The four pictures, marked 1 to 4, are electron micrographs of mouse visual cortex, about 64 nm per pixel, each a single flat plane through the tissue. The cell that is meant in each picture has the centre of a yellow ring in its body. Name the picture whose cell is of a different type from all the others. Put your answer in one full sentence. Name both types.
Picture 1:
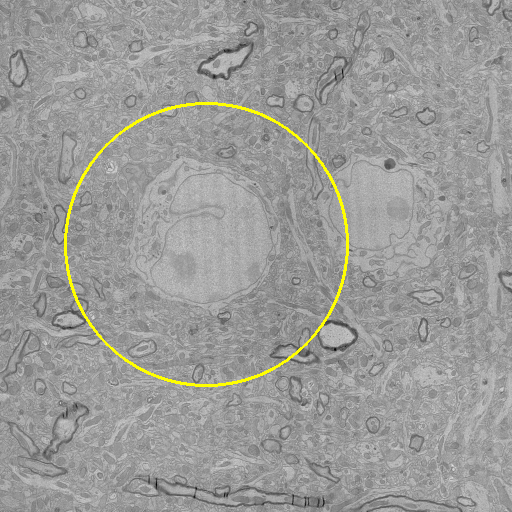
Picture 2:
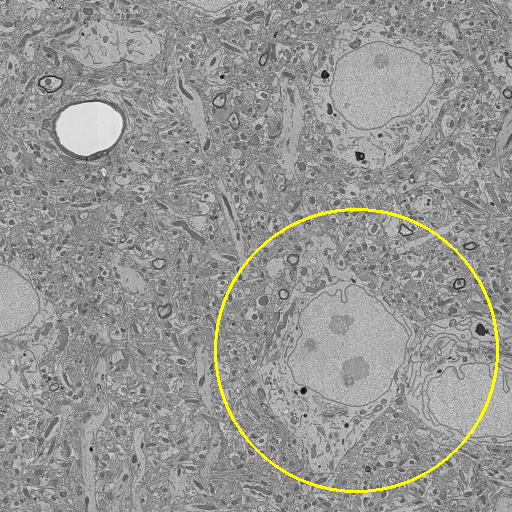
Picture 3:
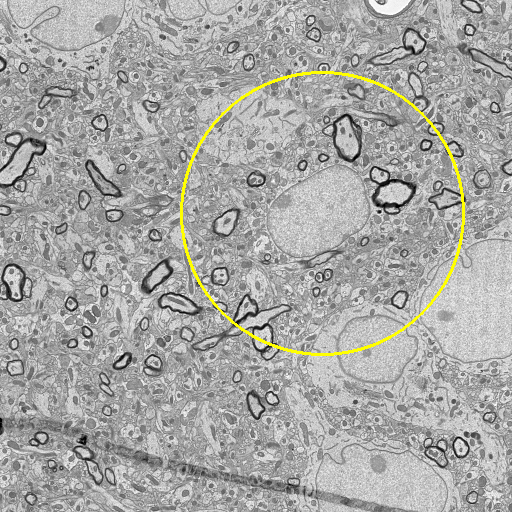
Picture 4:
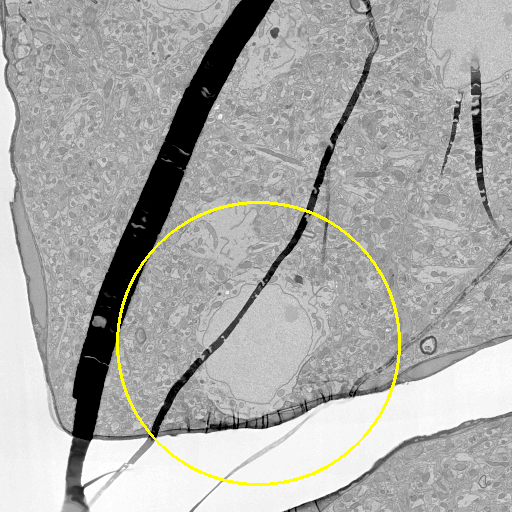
The others show excitatory neurons, but picture 3 shows an astrocyte.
